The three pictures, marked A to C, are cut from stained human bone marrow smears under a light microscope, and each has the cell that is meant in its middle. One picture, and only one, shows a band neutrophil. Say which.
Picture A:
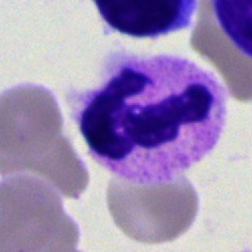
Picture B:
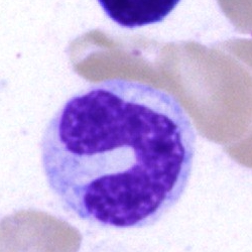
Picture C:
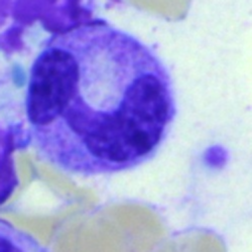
B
